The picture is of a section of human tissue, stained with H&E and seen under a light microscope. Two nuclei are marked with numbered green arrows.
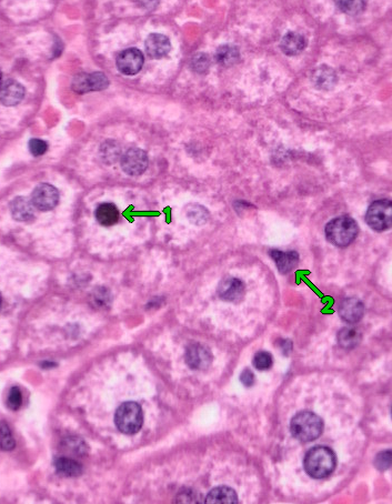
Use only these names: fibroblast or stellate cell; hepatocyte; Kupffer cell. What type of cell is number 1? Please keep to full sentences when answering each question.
The numbered cell 1 is identified here as a hepatocyte.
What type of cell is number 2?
The cell indicated with the number 2 is classed as a Kupffer cell.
